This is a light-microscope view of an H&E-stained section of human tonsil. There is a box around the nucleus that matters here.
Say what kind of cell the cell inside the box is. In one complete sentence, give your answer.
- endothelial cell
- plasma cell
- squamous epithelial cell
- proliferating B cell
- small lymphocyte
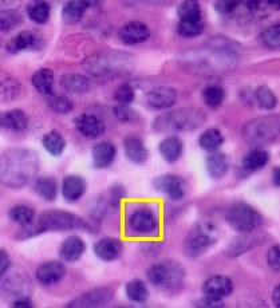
The cell type represented by the cell inside the box is that of a plasma cell.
